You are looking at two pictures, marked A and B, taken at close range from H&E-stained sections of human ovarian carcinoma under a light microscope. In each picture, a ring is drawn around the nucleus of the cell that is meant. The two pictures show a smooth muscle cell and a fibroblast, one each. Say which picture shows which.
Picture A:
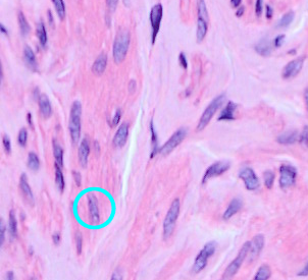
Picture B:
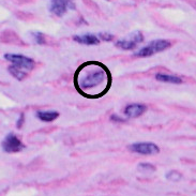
A: smooth muscle cell
B: fibroblast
